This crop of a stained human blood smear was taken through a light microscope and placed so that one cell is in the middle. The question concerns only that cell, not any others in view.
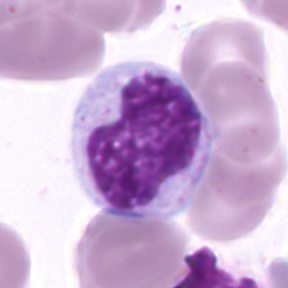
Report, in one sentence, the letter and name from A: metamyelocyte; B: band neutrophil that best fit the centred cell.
Option A is right, the centrally situated cell being a metamyelocyte.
